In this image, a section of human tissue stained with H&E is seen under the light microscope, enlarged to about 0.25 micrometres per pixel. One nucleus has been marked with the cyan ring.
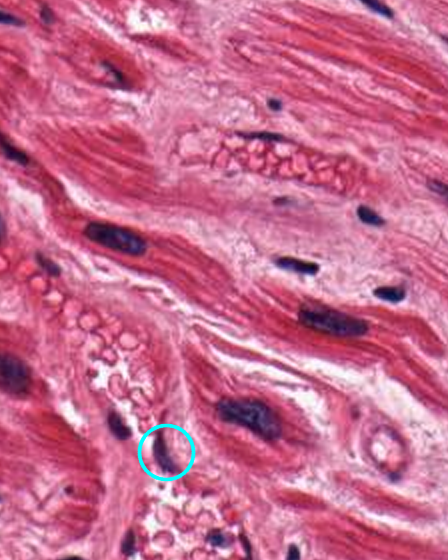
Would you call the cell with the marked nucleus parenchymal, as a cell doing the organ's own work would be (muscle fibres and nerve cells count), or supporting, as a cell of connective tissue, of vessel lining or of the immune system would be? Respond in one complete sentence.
Forming part of a supporting cell is the marked nucleus.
